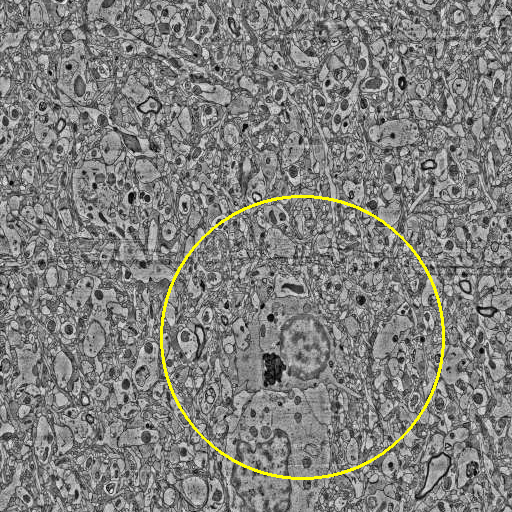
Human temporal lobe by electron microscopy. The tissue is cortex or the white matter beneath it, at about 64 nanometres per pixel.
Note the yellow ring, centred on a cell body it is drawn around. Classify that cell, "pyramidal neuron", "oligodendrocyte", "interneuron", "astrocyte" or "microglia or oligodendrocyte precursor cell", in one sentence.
The cell the ring is centred on is an oligodendrocyte.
